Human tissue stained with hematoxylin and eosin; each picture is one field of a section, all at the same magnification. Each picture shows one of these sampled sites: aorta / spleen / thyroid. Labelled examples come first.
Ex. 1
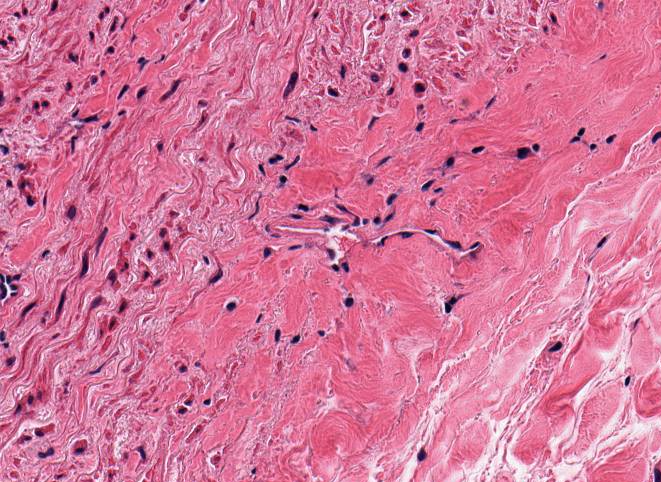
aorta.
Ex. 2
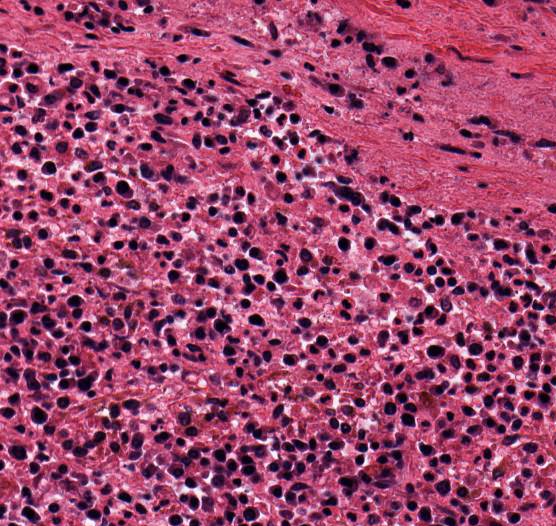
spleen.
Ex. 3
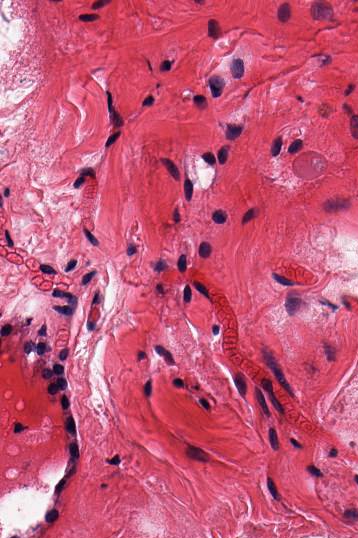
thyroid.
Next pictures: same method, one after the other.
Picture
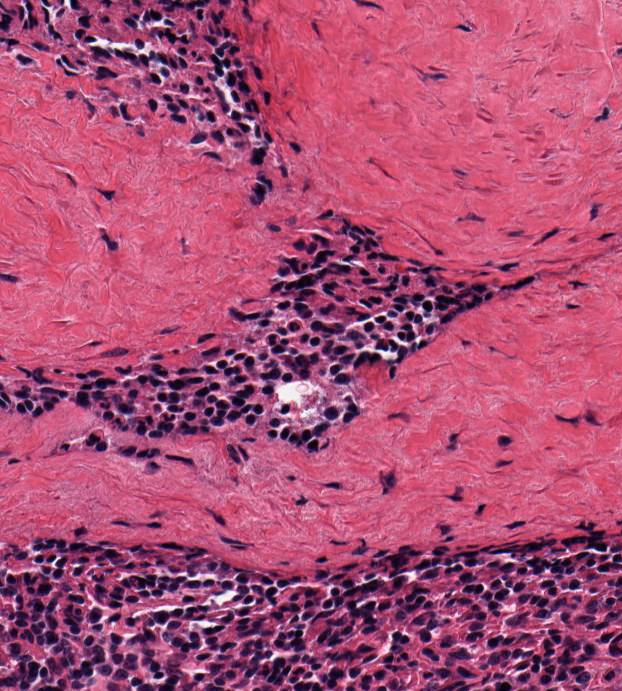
spleen.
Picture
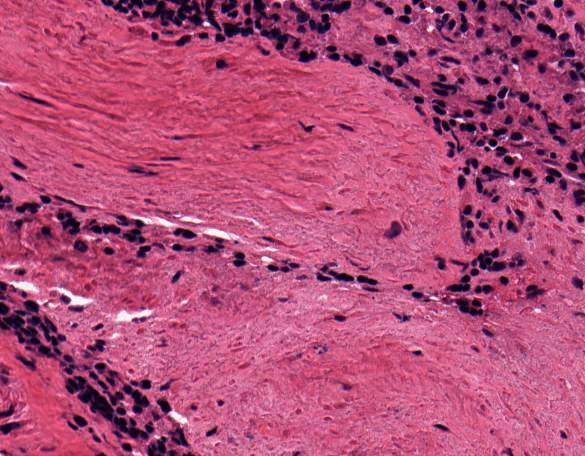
spleen.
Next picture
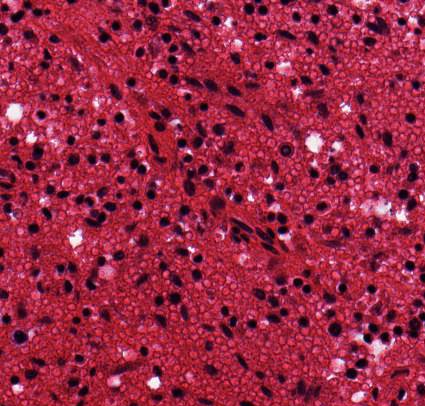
spleen.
